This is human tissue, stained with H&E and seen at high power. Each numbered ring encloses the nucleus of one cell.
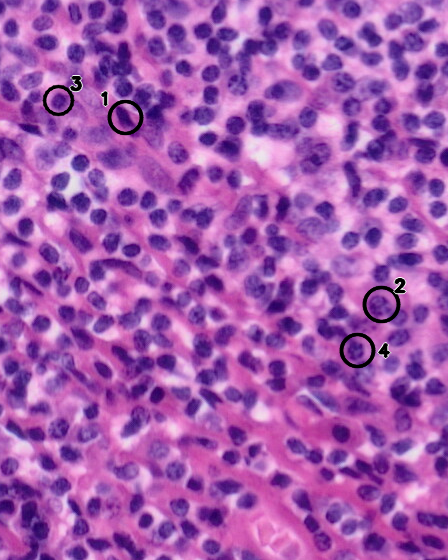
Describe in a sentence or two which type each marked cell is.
Cell 1 is an endothelial cell, cell 2 is a plasma cell, cell 3 is an endothelial cell and cell 4 is a plasma cell.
